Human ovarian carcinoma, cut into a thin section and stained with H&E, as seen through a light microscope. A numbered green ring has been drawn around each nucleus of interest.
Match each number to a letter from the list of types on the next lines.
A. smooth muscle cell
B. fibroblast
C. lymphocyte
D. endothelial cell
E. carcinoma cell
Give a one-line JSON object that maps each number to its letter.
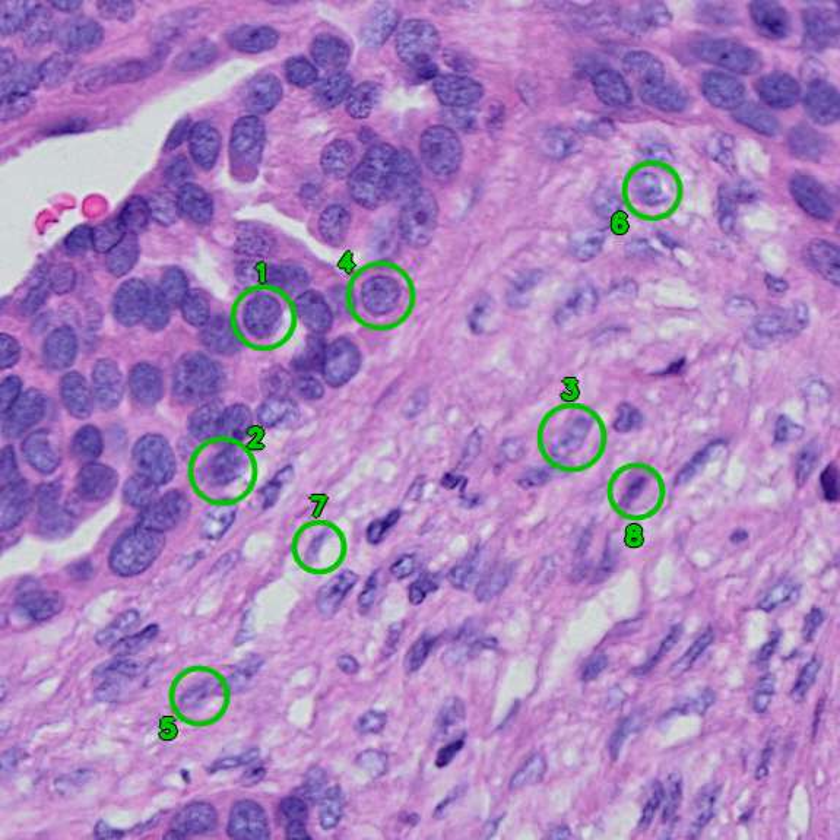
{"1": "E", "2": "E", "3": "B", "4": "E", "5": "B", "6": "B", "7": "B", "8": "B"}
